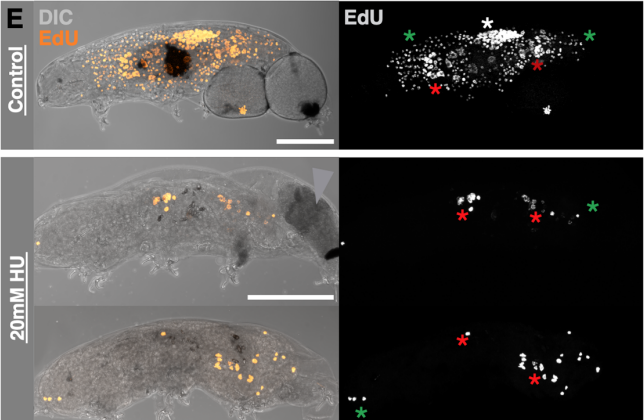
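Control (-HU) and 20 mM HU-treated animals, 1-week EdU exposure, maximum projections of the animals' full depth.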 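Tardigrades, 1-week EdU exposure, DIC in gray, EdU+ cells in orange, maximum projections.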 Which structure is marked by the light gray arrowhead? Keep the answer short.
a laid egg that has degraded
